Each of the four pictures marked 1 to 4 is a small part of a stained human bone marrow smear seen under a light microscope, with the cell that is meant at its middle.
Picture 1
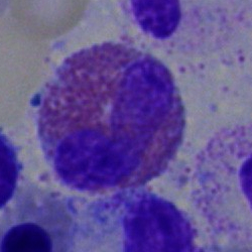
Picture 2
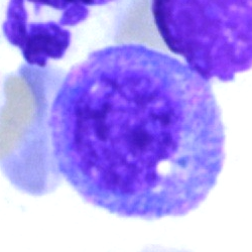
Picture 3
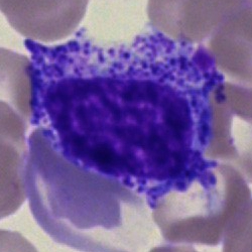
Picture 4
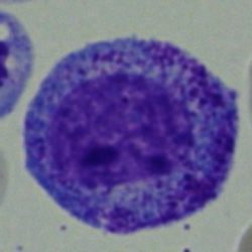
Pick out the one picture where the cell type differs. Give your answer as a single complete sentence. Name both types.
The different one is picture 1; it shows an eosinophil, whereas all the others show promyelocytes.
